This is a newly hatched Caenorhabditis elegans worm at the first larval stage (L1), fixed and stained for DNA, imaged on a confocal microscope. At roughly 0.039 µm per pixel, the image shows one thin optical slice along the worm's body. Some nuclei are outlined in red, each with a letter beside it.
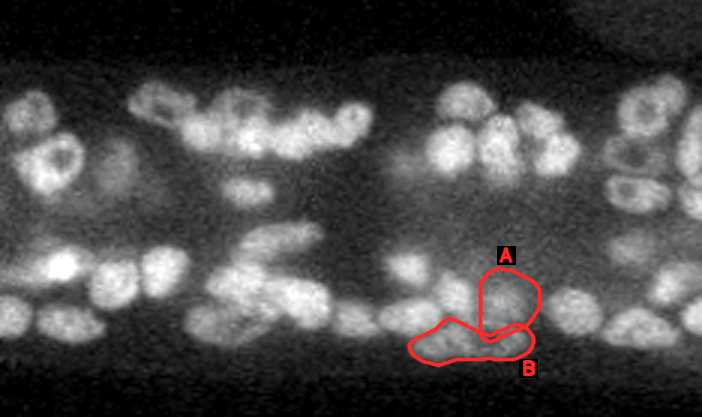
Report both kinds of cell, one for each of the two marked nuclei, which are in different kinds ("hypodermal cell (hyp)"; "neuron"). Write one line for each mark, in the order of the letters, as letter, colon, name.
A: neuron
B: hypodermal cell (hyp)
